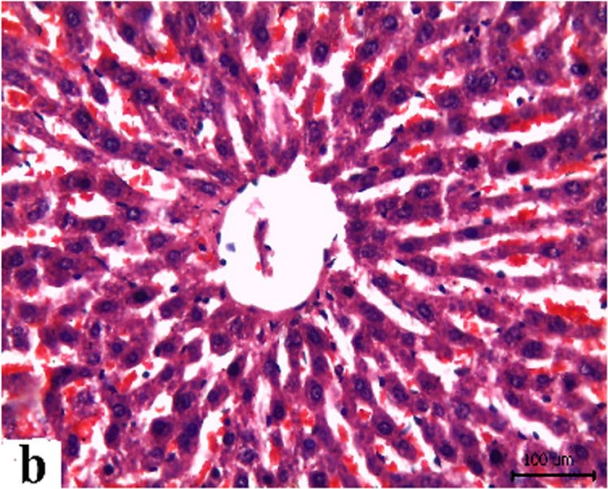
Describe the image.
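This is liver, with hepatocyte cords radiating from a central vein in the middle of the field. The sinusoids between the cords are markedly widened and many are stuffed with bright red blood cells, showing congestion. The hepatocytes have pink cytoplasm and round purple nuclei, but in places the cords look thinned and irregular, with paler, disordered cells.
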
